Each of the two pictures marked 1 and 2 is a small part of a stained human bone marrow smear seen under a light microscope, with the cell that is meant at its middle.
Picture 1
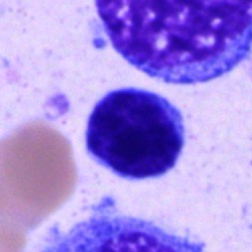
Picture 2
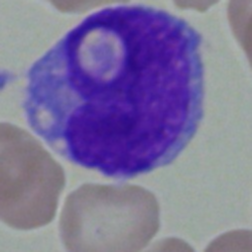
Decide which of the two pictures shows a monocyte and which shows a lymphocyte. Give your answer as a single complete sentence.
In picture 1 the cell is a lymphocyte; in picture 2, a monocyte.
